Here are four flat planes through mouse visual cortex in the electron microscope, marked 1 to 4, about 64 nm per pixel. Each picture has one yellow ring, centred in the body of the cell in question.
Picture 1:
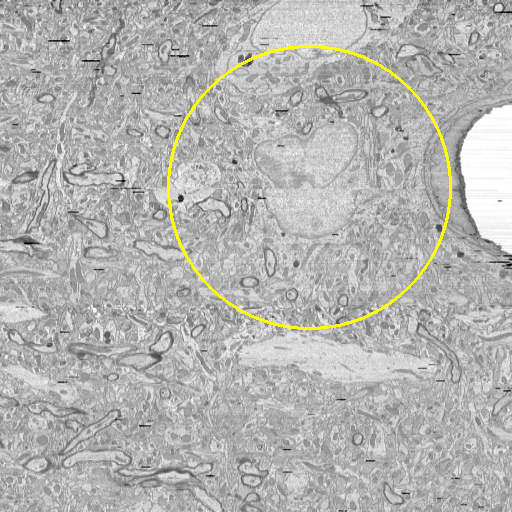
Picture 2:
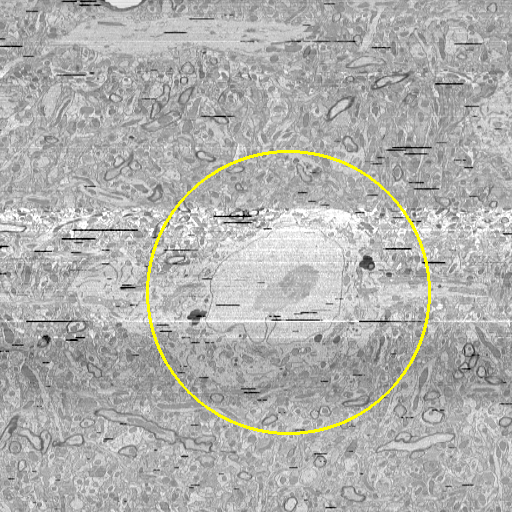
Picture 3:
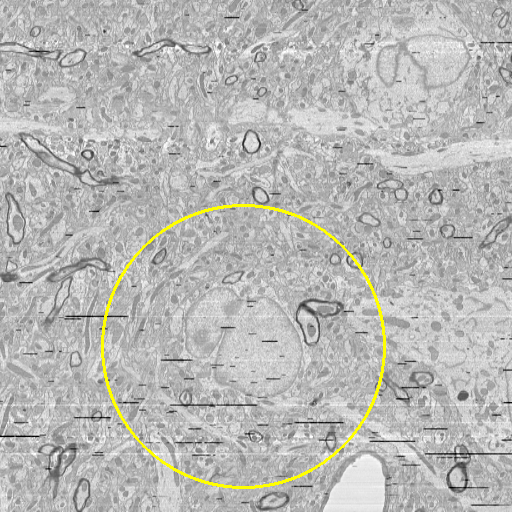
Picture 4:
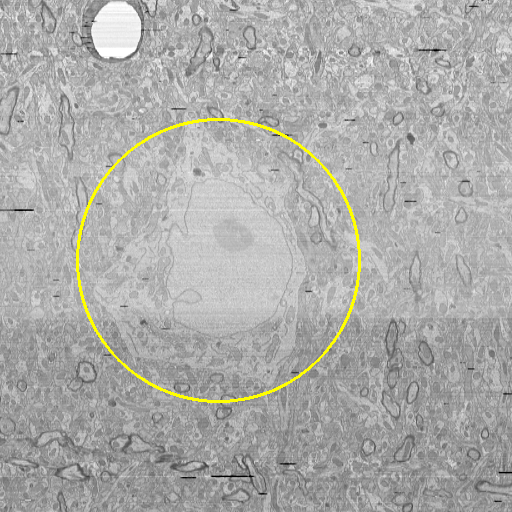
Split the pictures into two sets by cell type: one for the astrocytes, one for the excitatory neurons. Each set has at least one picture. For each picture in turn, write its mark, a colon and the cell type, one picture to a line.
1: astrocyte
2: excitatory neuron
3: astrocyte
4: excitatory neuron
